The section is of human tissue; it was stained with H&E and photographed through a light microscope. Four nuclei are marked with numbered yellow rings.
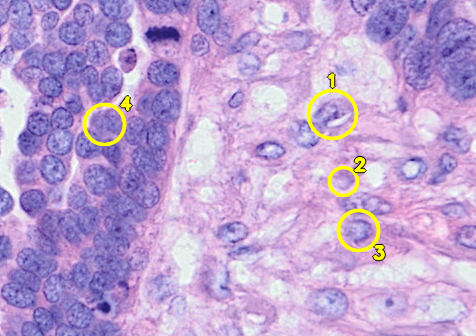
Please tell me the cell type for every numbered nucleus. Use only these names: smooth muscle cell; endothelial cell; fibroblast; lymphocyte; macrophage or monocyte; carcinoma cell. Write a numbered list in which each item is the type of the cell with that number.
1. fibroblast
2. fibroblast
3. fibroblast
4. carcinoma cell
